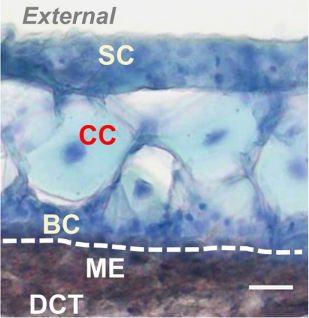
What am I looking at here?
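This is a section of fish skin showing a stratified epidermis resting on a dark pigmented layer above dense connective tissue. Near the surface lies a layer of flattened, deep blue superficial epithelial cells, and at the base, just above the boundary, sit basal epithelial cells. Between them are several very large, rounded club cells with pale, glassy light blue cytoplasm and a centrally placed nucleus, separated by thin strands of epithelial cells.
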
